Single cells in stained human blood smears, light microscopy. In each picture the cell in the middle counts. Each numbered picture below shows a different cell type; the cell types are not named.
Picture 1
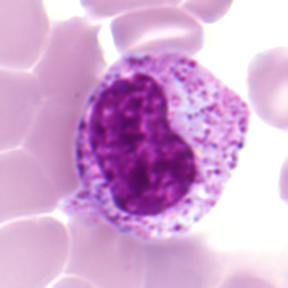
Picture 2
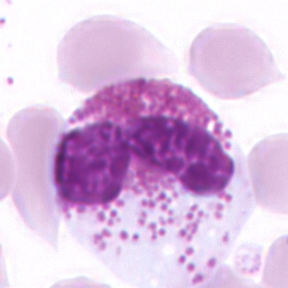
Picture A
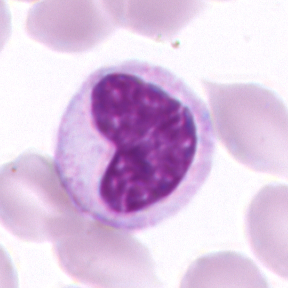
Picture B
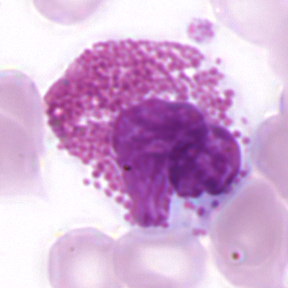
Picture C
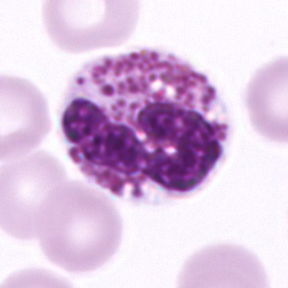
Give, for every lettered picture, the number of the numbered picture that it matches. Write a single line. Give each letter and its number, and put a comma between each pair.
A 1, B 2, C 2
